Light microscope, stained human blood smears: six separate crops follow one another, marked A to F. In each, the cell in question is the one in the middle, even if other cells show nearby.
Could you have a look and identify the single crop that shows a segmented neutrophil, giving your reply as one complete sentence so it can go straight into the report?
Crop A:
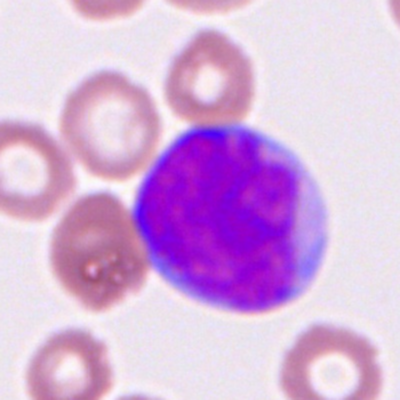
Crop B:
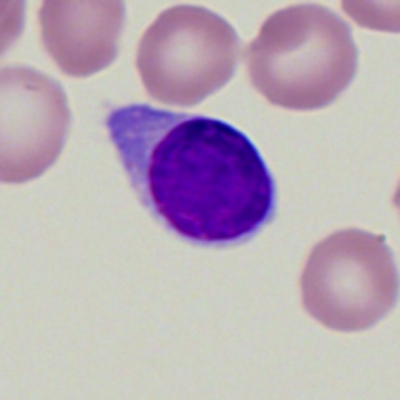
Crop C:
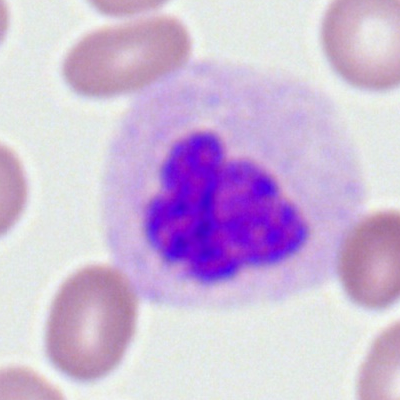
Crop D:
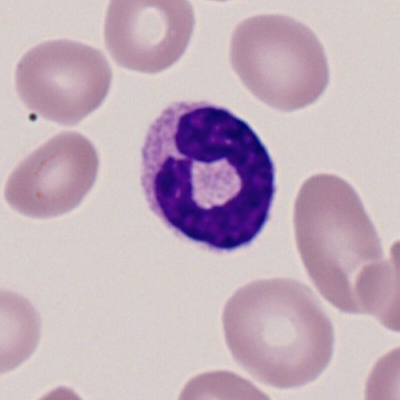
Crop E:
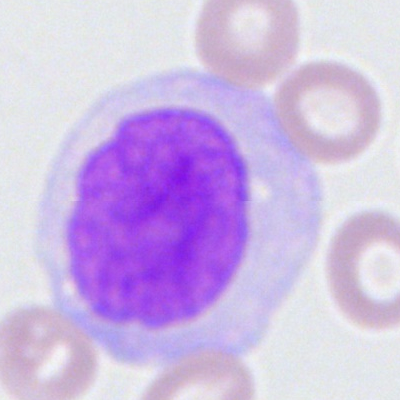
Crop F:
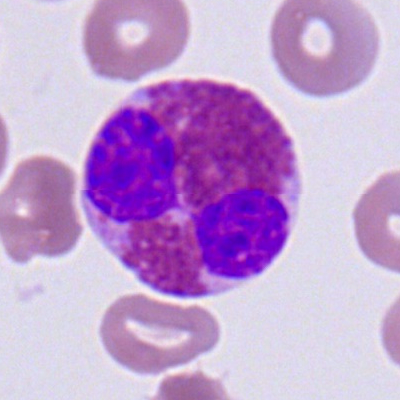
Only in crop C is a segmented neutrophil shown.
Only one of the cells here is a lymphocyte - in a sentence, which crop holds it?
Crop B is where a lymphocyte is shown.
